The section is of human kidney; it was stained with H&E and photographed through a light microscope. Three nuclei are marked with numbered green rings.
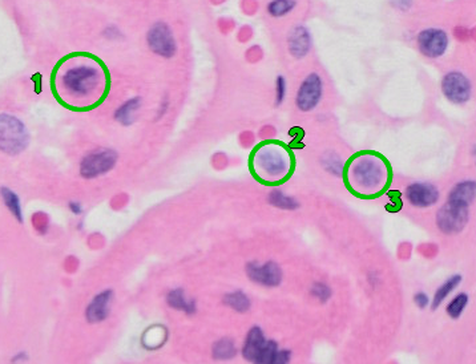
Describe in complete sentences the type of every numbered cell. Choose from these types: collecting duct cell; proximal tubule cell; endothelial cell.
Cell 1 is a proximal tubule cell. Cell 2 is an endothelial cell. Cell 3 is a collecting duct cell.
